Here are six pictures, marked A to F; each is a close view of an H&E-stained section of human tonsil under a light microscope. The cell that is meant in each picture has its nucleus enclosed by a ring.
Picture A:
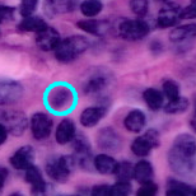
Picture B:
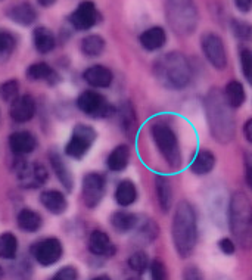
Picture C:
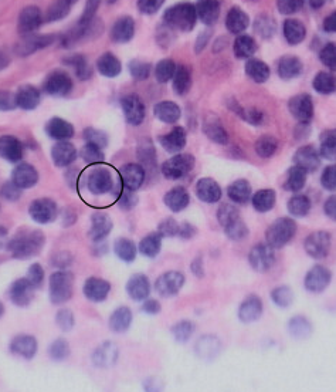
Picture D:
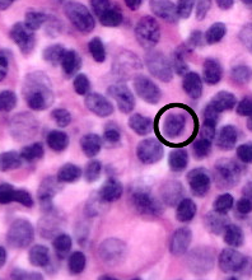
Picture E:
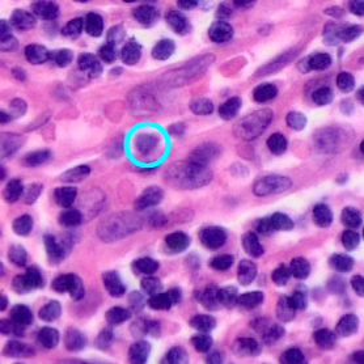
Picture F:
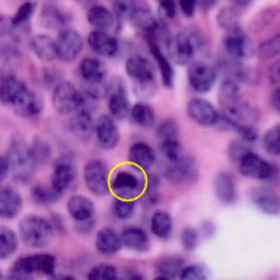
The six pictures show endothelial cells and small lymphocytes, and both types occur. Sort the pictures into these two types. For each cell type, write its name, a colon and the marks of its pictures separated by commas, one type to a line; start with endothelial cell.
endothelial cell: A, B, E
small lymphocyte: C, D, F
